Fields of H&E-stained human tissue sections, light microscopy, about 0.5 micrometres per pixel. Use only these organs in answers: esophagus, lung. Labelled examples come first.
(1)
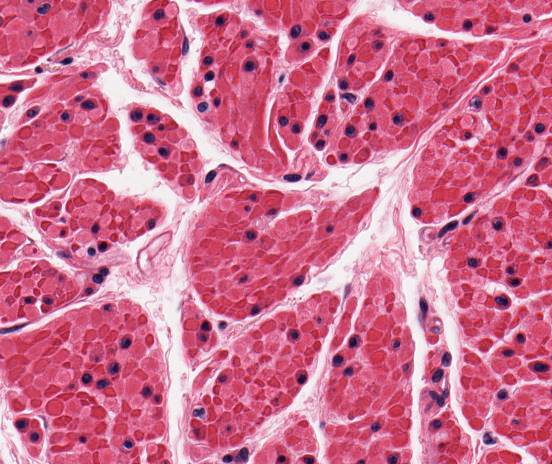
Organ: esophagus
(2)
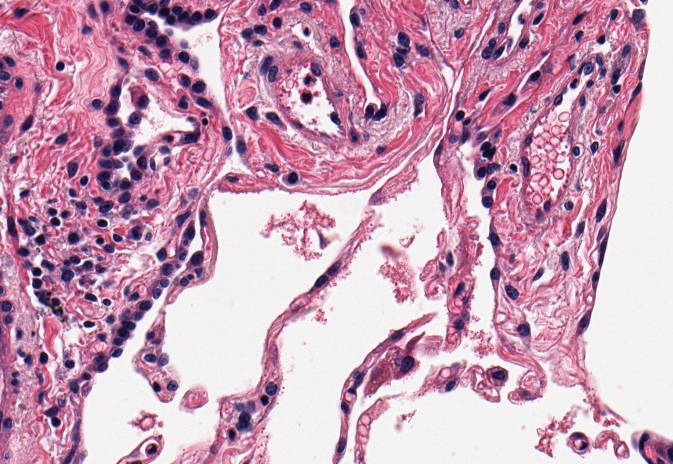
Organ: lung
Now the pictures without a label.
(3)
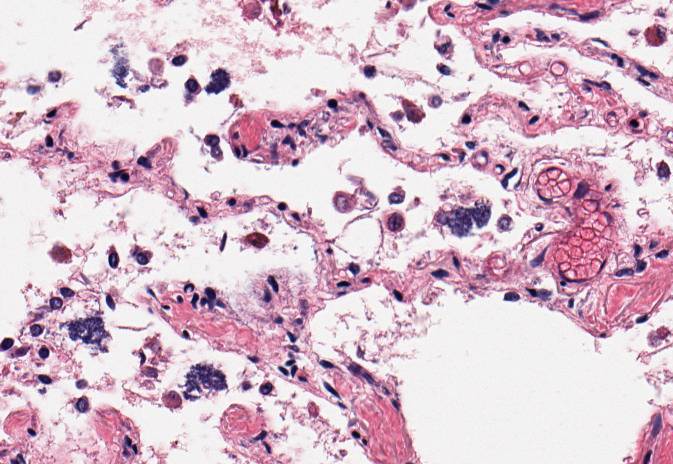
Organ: lung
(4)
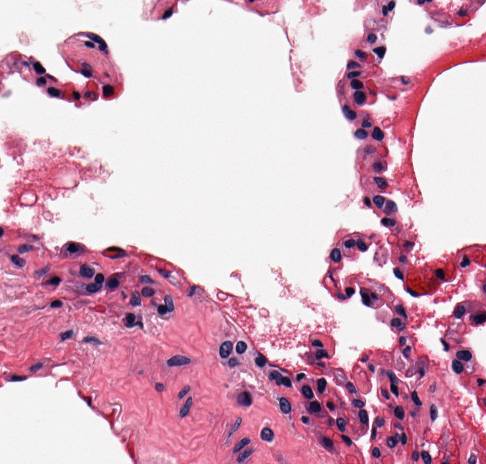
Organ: lung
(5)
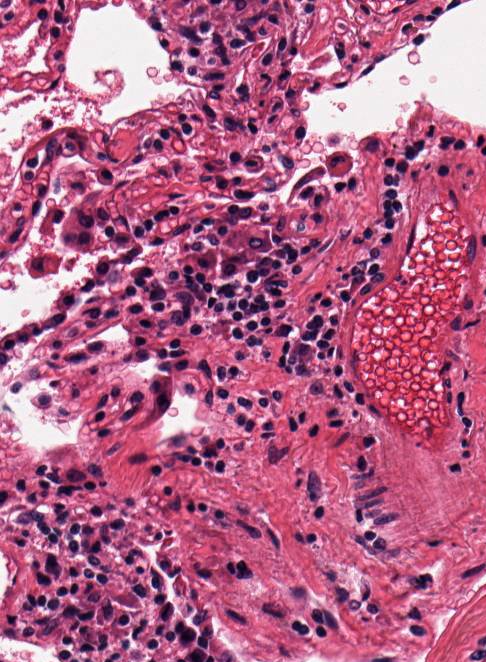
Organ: lung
